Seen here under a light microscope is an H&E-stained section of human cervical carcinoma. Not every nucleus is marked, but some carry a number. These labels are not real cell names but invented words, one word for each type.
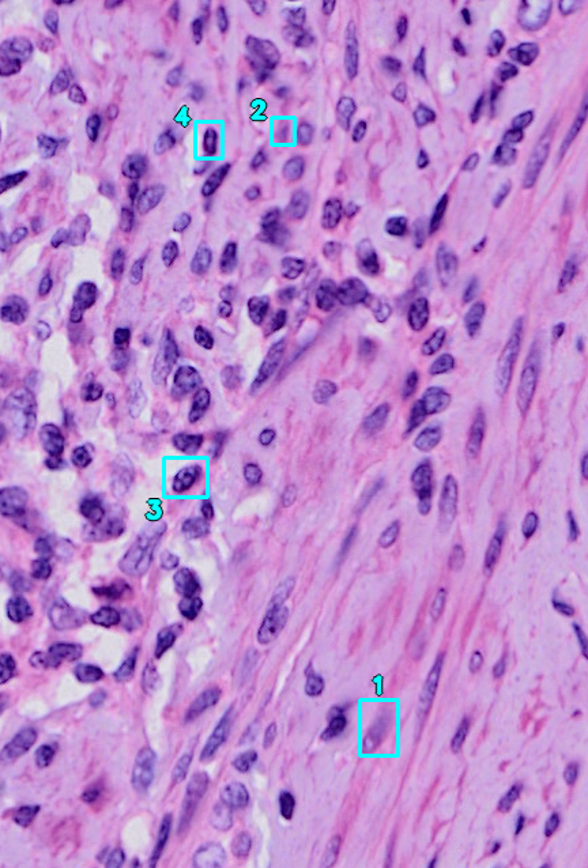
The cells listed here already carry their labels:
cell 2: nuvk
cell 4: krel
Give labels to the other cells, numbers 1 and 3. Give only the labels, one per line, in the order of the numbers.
nuvk
krel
